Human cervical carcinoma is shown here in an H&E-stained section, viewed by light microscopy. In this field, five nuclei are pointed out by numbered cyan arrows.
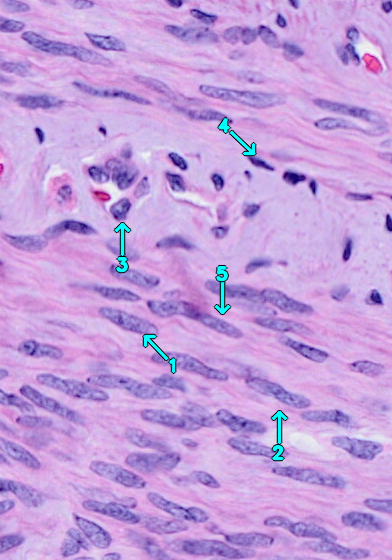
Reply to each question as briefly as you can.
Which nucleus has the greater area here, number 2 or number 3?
2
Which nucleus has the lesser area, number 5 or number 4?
4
